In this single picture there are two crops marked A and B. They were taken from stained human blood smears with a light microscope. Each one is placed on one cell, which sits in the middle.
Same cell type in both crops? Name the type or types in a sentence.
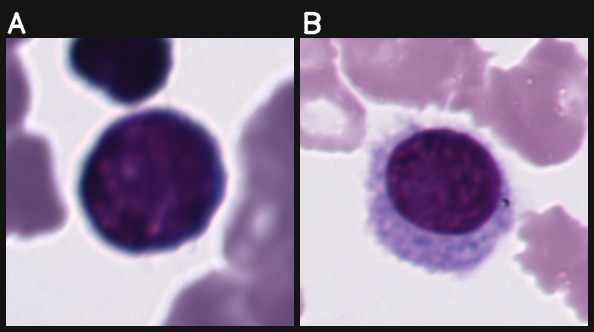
No, just to correct that: crop A shows a blast, crop B shows a hairy cell.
